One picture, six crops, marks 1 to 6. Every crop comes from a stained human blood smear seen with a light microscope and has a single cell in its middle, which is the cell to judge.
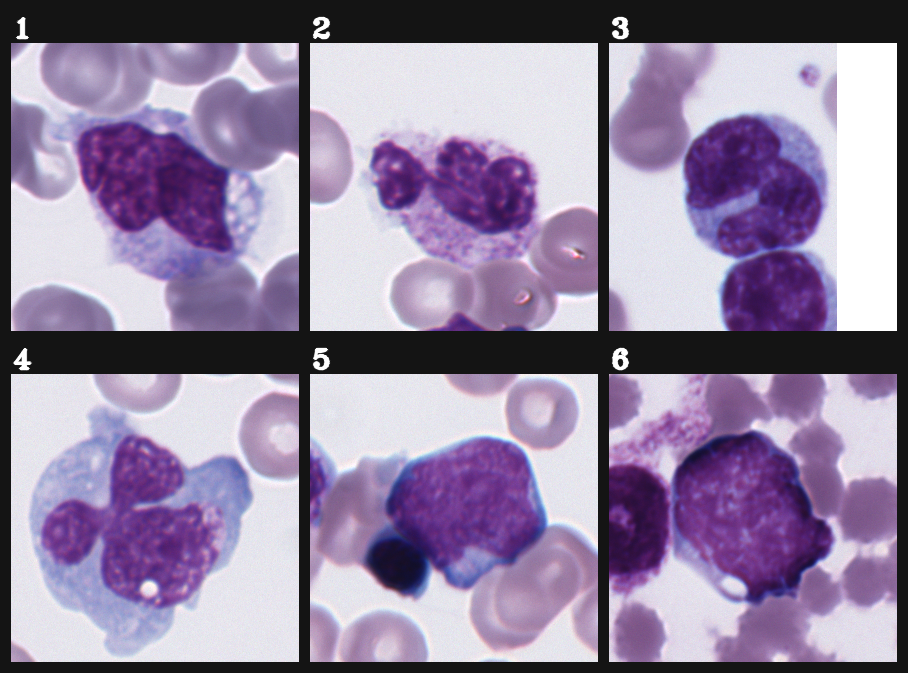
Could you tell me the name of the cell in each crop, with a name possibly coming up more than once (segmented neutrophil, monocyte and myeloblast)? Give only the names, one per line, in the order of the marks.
monocyte
segmented neutrophil
monocyte
monocyte
myeloblast
myeloblast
